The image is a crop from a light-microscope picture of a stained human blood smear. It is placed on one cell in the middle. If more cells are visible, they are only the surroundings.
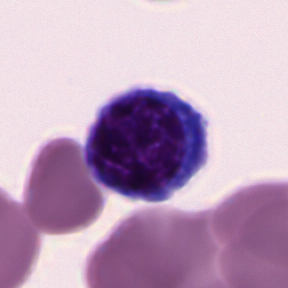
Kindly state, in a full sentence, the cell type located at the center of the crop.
The centered cell in this crop is a plasma cell.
